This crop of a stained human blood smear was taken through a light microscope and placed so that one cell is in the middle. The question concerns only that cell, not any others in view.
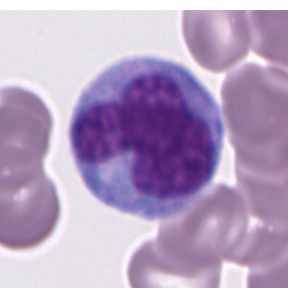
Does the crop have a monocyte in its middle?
yes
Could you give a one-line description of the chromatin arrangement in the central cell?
The chromatin is fine throughout, without coarse clumps.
